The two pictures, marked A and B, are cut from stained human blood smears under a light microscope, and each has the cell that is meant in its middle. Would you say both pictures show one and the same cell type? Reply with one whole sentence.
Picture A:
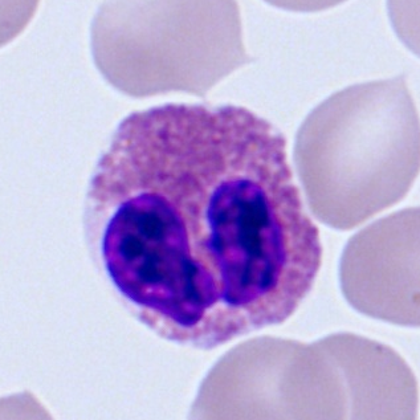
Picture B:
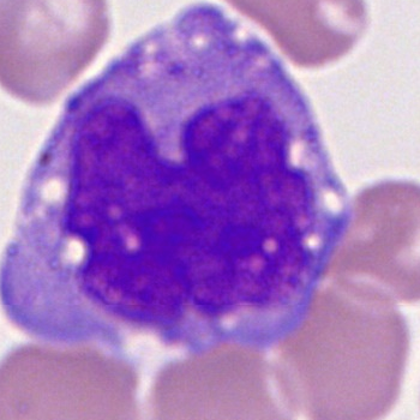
No. Picture A shows an eosinophil, but picture B shows a monocyte.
